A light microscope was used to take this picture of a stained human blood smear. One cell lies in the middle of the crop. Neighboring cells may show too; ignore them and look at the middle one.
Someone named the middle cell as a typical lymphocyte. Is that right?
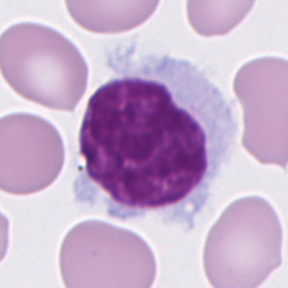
no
